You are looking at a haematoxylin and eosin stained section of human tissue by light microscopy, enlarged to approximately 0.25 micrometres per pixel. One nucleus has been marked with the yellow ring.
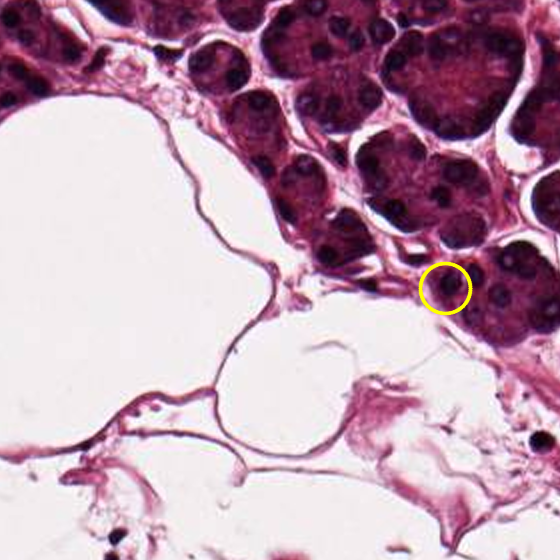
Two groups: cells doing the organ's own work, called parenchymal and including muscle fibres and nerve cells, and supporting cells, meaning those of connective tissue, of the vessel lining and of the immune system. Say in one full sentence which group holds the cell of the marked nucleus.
In this field the marked nucleus is the nucleus of a pancreatic acinar cell, a parenchymal cell.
